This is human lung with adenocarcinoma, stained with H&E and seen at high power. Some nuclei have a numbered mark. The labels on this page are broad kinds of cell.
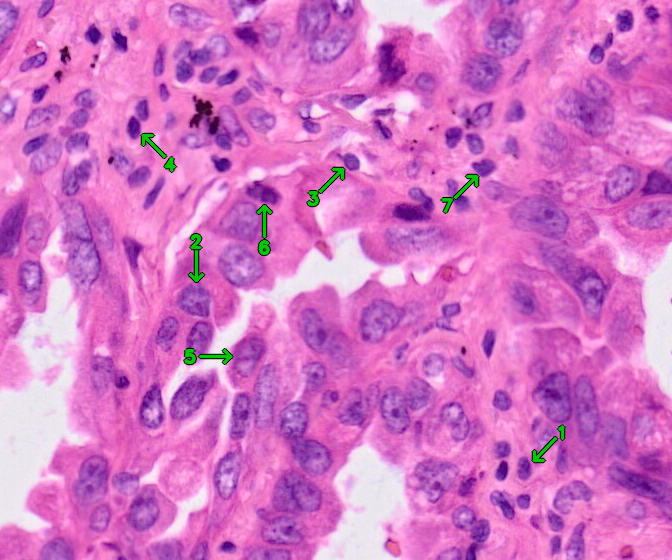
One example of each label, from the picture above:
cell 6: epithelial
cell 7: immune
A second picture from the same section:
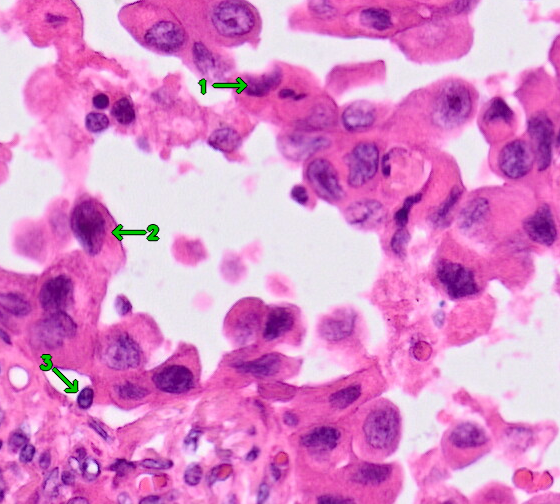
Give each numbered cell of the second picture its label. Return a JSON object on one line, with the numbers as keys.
{"1": "epithelial", "2": "epithelial", "3": "immune"}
